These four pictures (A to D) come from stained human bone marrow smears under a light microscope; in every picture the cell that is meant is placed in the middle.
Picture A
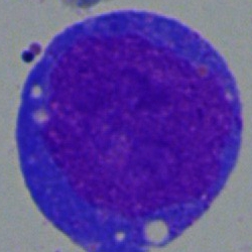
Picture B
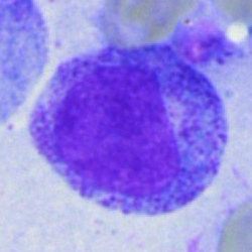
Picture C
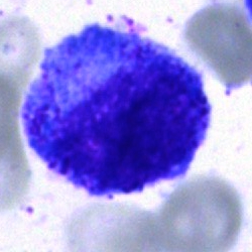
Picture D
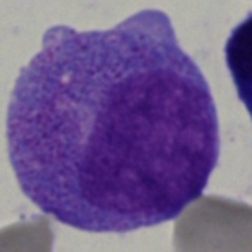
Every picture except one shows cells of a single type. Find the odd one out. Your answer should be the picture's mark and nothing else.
A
